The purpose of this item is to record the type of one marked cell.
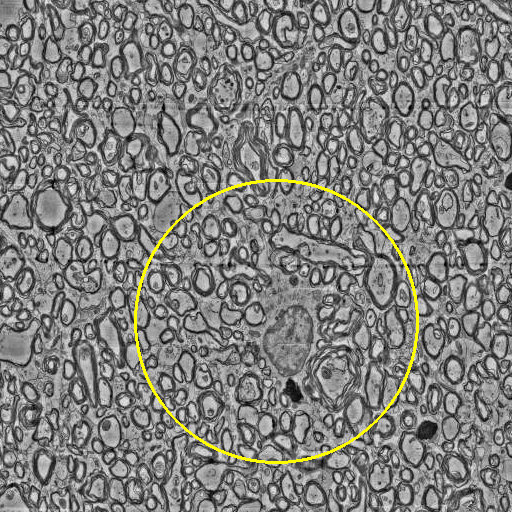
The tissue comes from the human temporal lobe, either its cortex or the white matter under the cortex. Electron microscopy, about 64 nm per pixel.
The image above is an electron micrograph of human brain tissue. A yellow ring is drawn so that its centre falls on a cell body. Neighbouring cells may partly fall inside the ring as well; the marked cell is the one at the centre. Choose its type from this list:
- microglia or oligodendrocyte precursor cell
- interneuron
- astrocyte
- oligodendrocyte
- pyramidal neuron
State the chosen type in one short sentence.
What the ring marks here is an oligodendrocyte.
